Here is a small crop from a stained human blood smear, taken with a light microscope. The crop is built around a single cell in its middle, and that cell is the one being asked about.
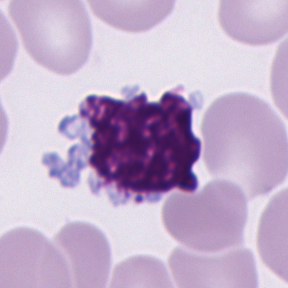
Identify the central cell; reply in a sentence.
Framed in the middle of the crop is a lymphocyte.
